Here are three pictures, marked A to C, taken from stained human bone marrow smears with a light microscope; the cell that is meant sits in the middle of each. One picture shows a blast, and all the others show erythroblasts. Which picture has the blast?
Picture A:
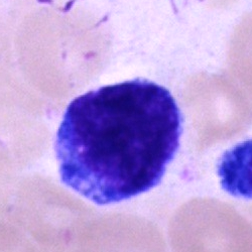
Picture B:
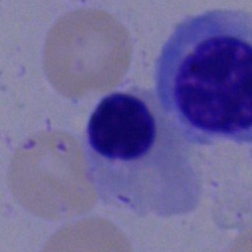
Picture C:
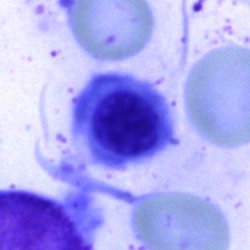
A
